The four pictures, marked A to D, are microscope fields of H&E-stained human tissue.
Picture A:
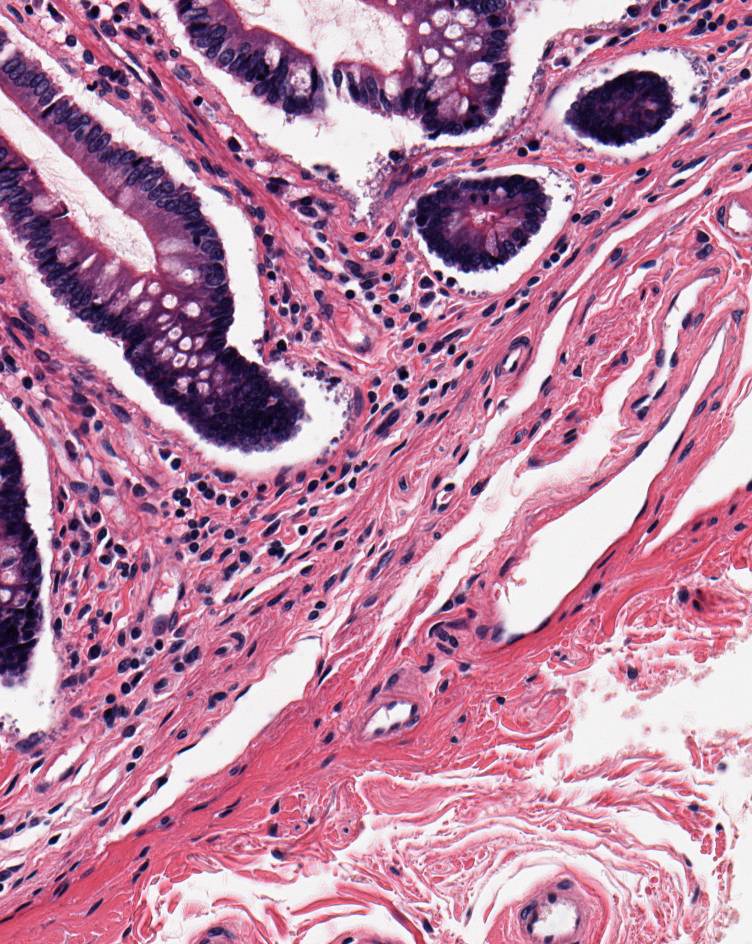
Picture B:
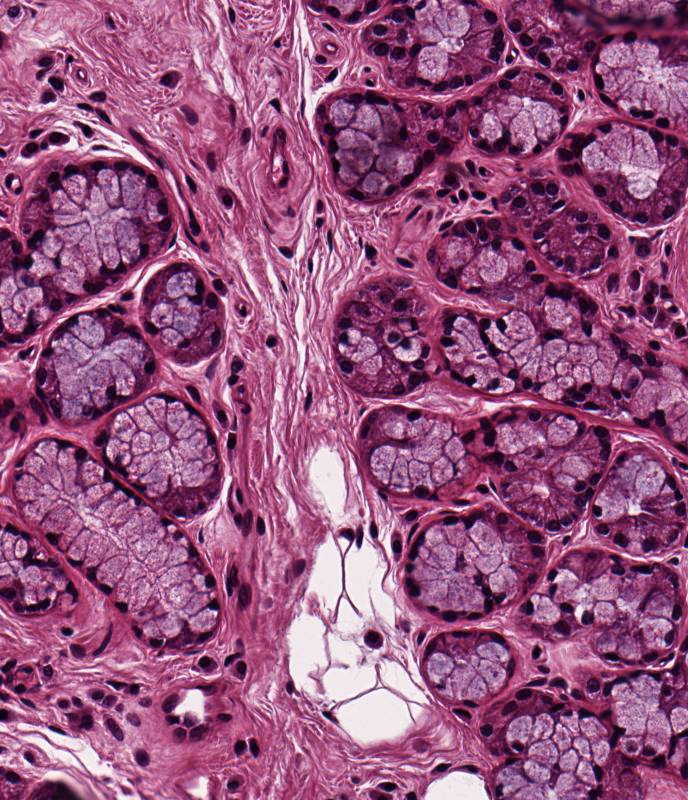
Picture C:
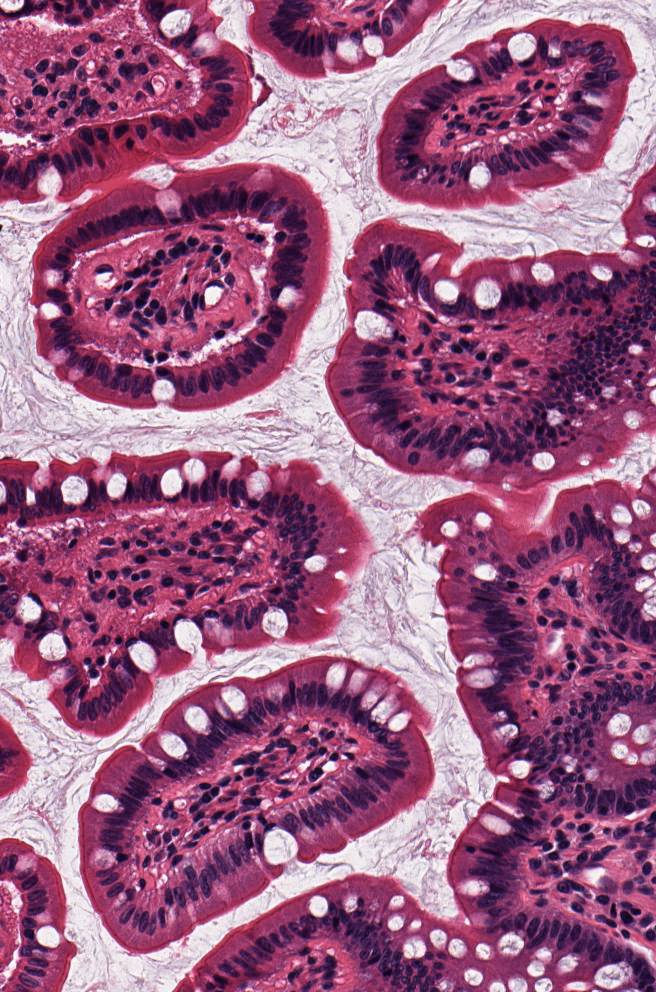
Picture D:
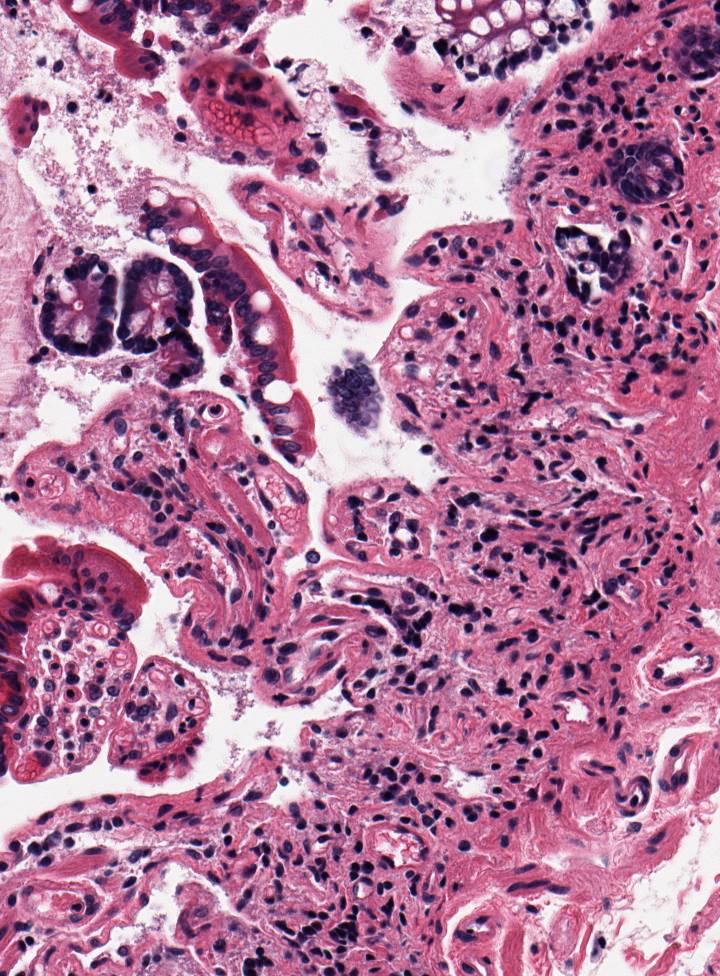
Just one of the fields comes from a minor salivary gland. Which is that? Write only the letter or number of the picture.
B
